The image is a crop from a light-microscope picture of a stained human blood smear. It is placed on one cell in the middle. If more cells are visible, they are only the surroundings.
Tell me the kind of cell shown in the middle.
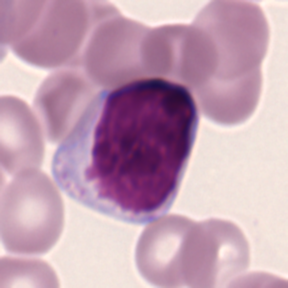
large granular lymphocyte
